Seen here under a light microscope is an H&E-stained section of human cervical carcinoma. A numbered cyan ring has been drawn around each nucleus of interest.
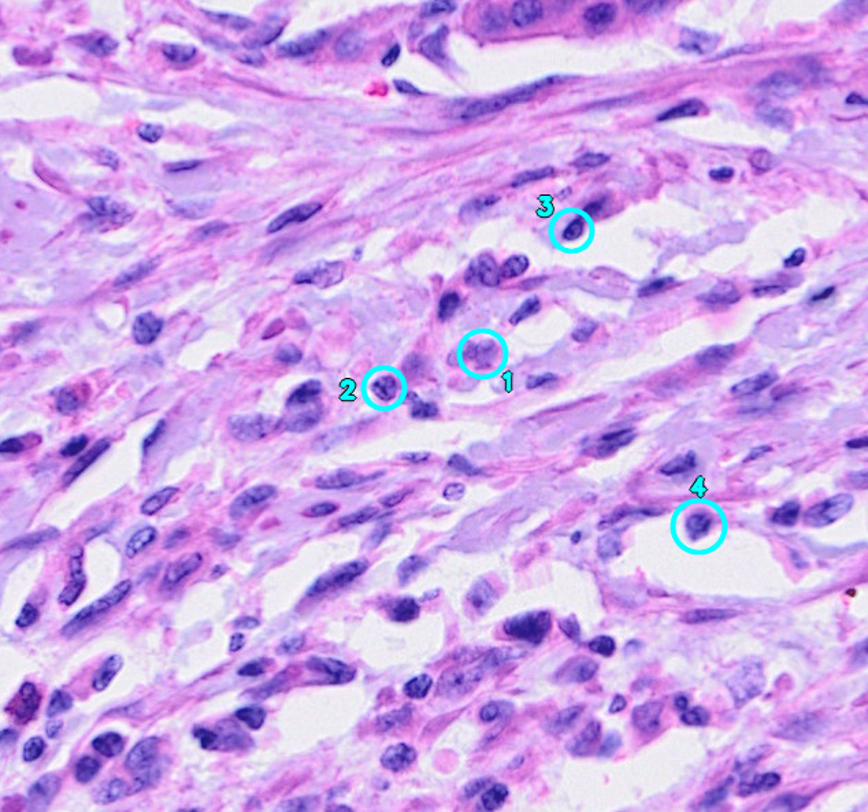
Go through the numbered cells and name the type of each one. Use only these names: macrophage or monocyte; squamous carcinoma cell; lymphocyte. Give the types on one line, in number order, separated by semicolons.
macrophage or monocyte; lymphocyte; lymphocyte; lymphocyte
